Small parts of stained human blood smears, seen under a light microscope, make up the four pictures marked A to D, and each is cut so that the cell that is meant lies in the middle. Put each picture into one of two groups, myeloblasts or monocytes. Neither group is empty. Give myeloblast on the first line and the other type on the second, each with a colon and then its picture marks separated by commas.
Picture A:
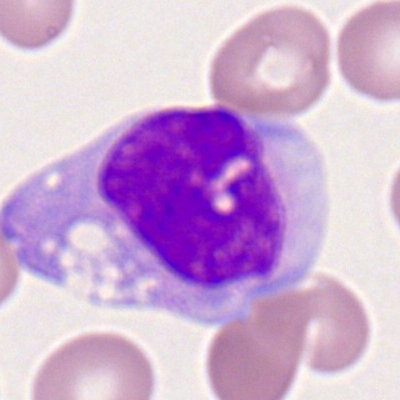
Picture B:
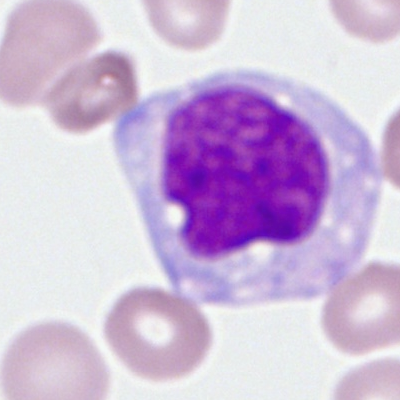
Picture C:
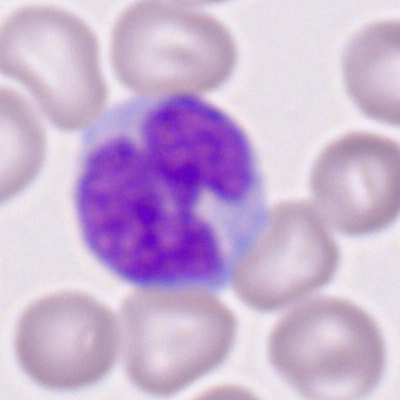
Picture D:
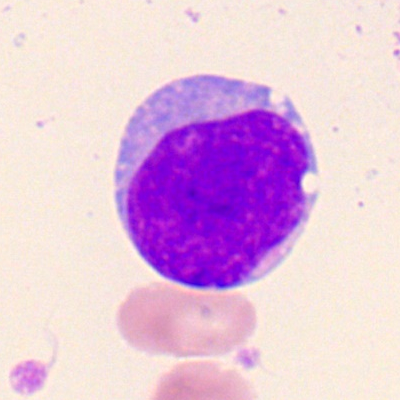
myeloblast: D
monocyte: A, B, C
